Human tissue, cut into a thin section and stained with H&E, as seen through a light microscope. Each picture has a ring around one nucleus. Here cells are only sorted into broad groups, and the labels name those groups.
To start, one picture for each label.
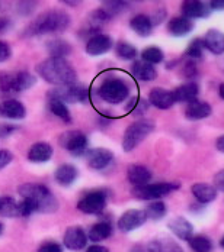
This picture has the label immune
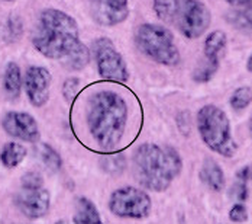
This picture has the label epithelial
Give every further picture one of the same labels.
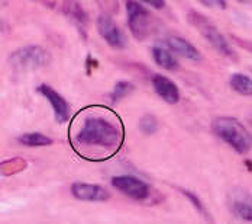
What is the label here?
immune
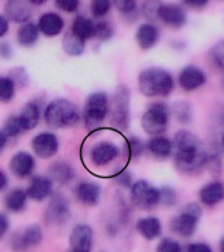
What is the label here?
immune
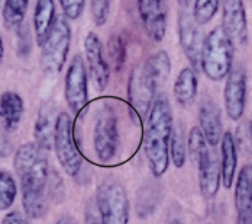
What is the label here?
epithelial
